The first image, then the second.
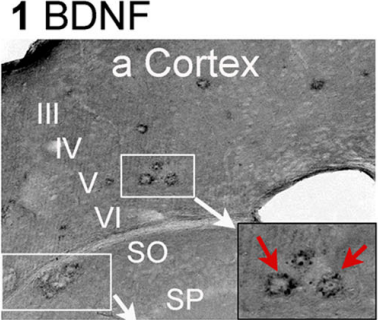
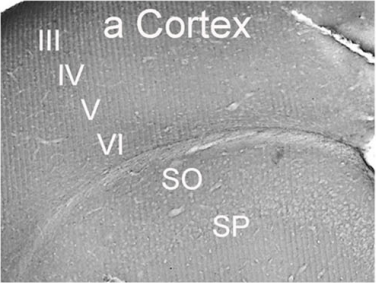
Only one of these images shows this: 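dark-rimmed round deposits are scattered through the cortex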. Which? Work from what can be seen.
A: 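Second image: the cortex is evenly grey without dark round foci. First image: several small dark ring-like foci are scattered in the deep cortical layers. On this evidence: the first image.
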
